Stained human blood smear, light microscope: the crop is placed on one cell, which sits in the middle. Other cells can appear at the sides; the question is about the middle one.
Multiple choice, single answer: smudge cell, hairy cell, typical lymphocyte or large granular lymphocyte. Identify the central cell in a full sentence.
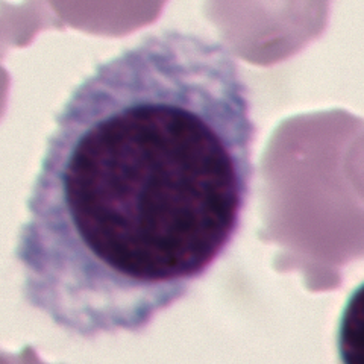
The cell in the exact centre of the crop is a hairy cell.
